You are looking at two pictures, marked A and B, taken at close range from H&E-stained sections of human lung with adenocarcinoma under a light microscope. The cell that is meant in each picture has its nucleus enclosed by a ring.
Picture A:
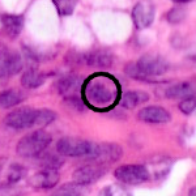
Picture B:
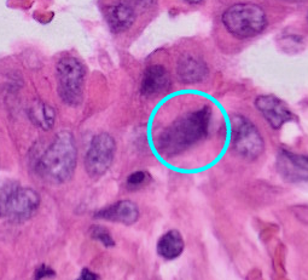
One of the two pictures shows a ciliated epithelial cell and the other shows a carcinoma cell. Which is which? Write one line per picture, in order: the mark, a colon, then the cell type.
A: ciliated epithelial cell
B: carcinoma cell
